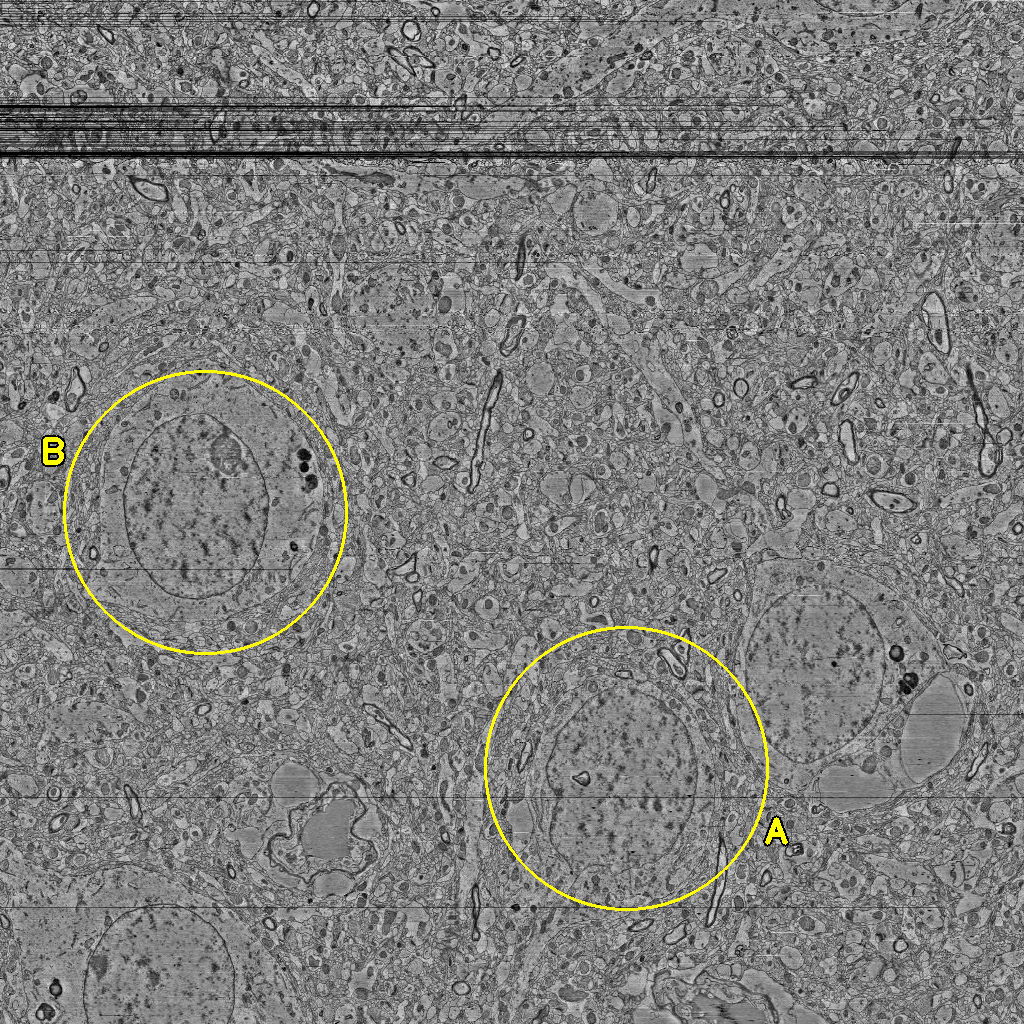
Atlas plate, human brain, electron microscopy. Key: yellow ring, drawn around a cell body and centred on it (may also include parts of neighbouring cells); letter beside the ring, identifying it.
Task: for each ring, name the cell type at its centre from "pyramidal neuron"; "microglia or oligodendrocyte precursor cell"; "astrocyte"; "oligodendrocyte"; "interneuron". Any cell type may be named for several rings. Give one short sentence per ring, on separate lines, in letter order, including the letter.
Ring A is centred over an interneuron.
Ring B is centred over a pyramidal neuron.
